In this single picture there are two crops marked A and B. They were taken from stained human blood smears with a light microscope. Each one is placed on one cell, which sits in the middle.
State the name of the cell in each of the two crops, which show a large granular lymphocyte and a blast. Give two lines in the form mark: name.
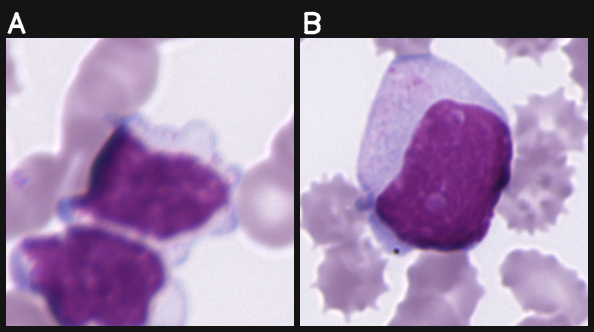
A: large granular lymphocyte
B: blast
